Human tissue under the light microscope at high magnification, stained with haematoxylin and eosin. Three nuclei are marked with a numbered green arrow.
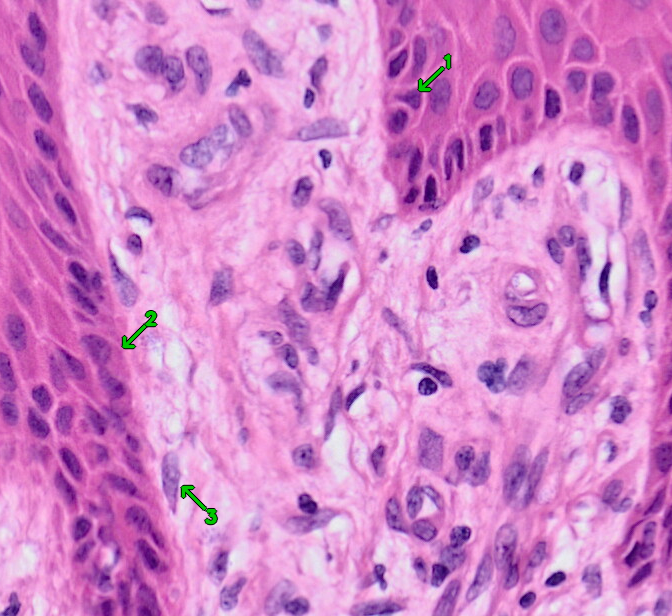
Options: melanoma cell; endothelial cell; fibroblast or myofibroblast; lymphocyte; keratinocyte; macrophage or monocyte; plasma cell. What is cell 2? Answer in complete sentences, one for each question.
Identified by the number 2, the cell is a keratinocyte.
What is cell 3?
The cell pointed out as number 3 is a fibroblast or myofibroblast.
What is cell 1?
Numbered cell 1 is a keratinocyte in this tissue section.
